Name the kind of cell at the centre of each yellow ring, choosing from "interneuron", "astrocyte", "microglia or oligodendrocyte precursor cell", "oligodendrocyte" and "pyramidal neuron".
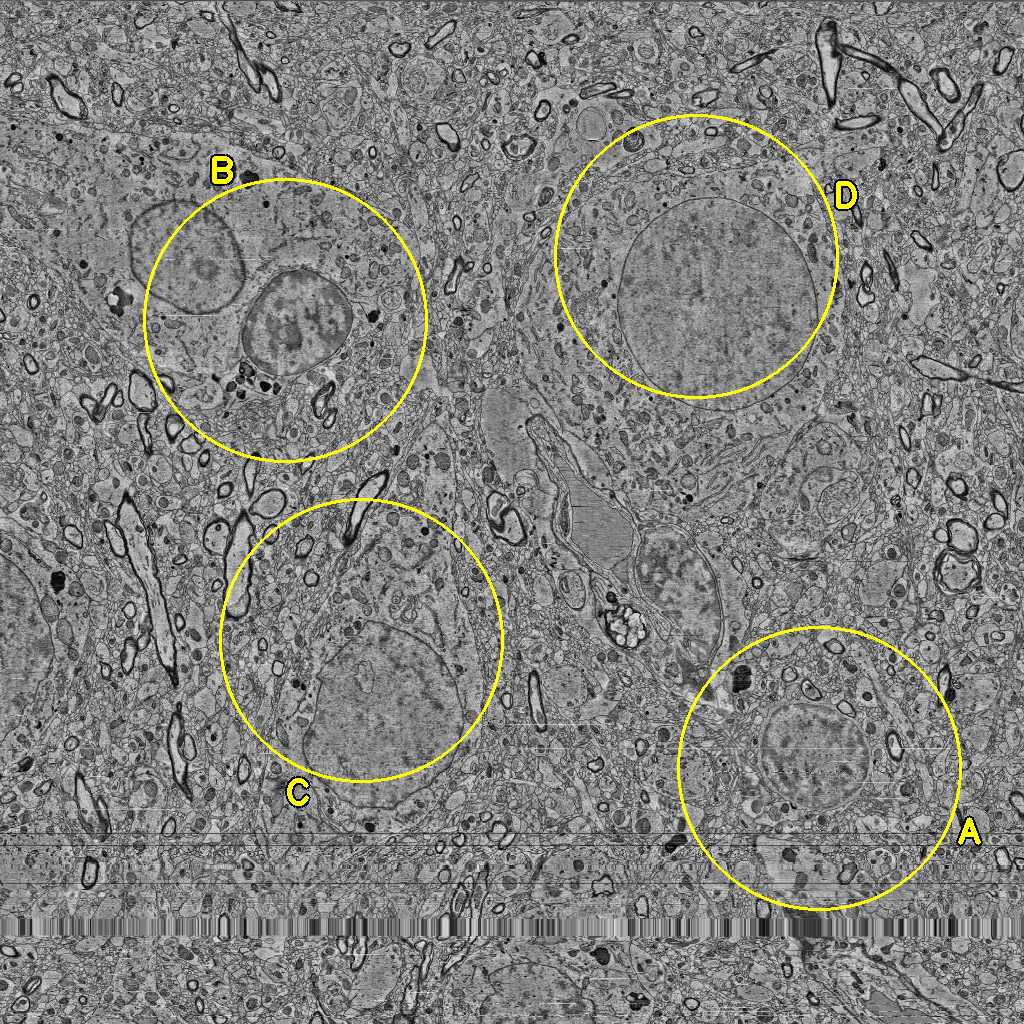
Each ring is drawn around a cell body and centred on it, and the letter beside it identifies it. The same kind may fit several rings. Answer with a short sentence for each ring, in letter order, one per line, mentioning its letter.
Ring A is drawn around an oligodendrocyte.
Ring B is drawn around a microglial cell or oligodendrocyte precursor cell.
Ring C is drawn around a pyramidal neuron.
Ring D is drawn around an interneuron.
